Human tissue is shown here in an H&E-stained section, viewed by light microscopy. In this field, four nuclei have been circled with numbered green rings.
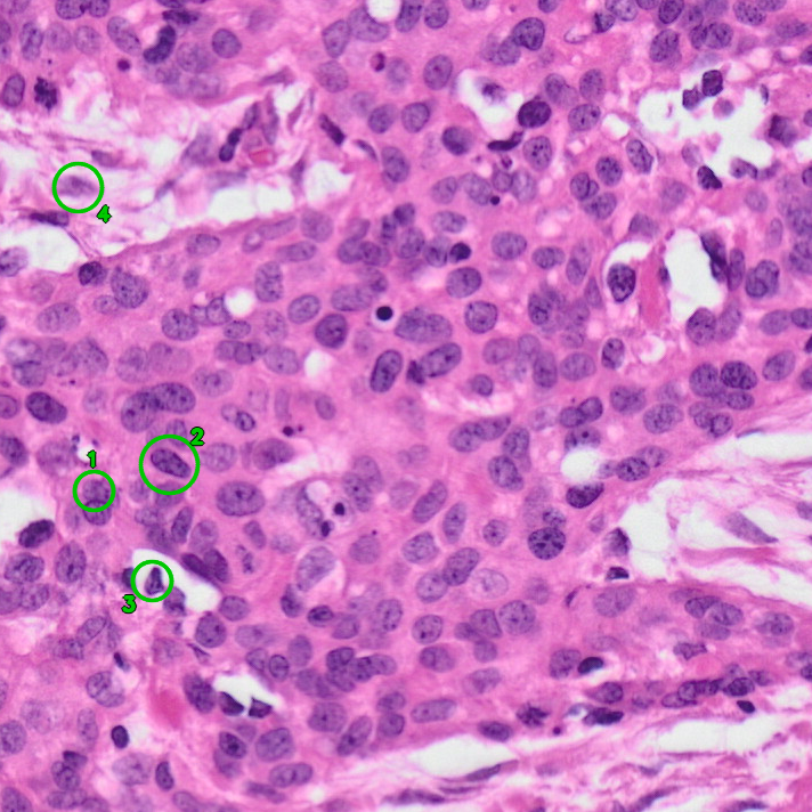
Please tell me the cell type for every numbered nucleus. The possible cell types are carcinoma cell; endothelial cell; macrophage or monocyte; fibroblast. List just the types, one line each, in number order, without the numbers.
carcinoma cell
carcinoma cell
carcinoma cell
fibroblast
